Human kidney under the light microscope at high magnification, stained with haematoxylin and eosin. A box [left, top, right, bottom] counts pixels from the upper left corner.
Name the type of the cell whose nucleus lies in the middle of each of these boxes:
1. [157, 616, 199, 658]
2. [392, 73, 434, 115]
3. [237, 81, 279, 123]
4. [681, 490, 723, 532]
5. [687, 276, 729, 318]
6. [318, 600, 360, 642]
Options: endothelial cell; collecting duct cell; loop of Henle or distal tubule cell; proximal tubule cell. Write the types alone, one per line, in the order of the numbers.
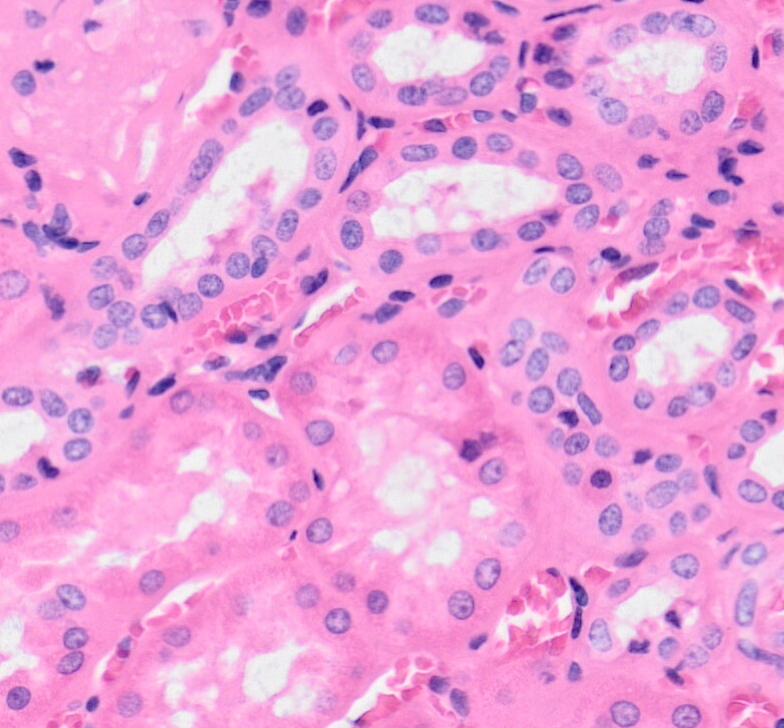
proximal tubule cell
collecting duct cell
collecting duct cell
collecting duct cell
collecting duct cell
proximal tubule cell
